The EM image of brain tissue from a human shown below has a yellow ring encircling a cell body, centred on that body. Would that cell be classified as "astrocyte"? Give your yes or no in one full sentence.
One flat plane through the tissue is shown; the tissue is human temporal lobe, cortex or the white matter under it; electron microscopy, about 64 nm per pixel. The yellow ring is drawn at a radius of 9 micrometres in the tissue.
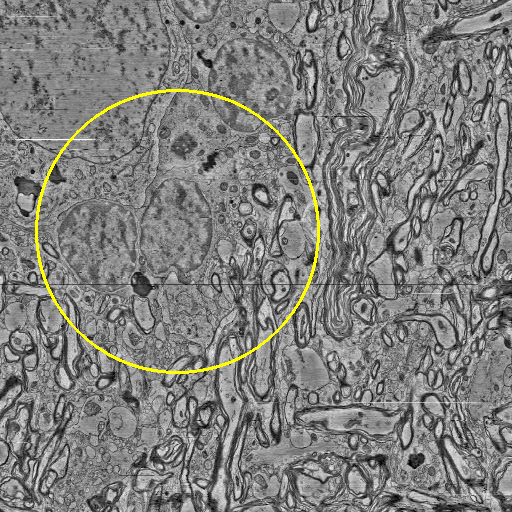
No, the cell at the centre of the ring in the picture falls in another class.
